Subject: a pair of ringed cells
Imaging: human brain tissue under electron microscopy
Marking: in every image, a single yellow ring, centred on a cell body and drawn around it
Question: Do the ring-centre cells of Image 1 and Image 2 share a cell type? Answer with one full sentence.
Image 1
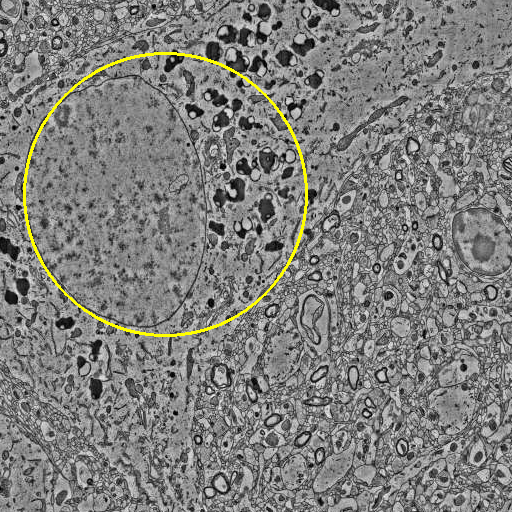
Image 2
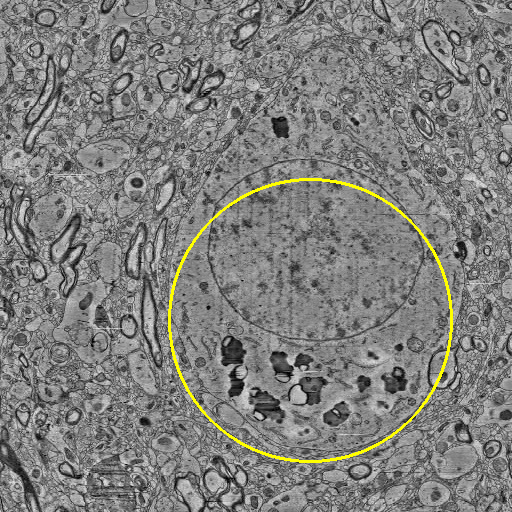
Yes, at each ring's centre in the images sits a cell of one common type.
